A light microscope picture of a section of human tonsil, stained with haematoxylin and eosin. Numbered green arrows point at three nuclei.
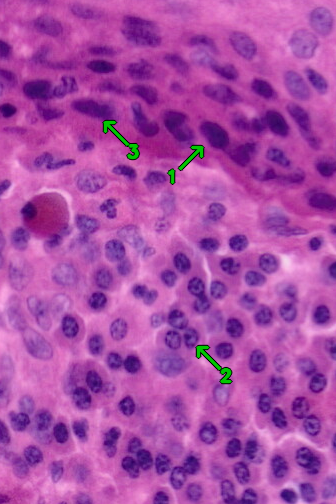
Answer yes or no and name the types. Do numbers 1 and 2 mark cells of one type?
No, cell 1 is a squamous epithelial cell and cell 2 is a plasma cell.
